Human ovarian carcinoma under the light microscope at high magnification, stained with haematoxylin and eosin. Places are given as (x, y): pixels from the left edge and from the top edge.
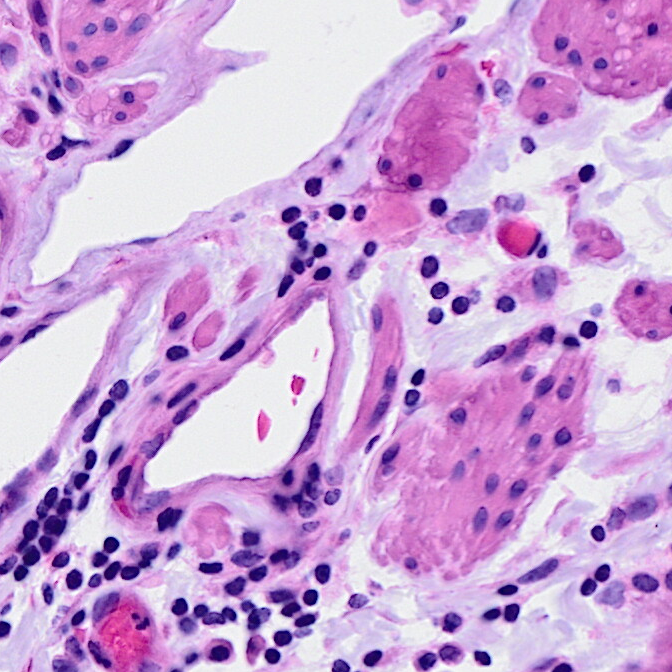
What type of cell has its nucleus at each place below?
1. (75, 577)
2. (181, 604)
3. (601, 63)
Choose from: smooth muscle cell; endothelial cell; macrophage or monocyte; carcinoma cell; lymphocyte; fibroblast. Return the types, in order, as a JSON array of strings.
["lymphocyte", "lymphocyte", "smooth muscle cell"]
